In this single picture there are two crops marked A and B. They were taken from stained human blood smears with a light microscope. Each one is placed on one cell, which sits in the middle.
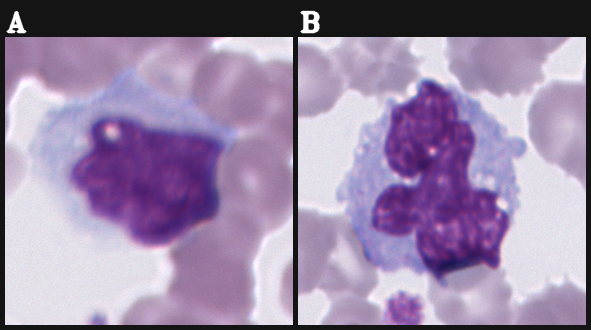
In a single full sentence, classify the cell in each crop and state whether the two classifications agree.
Yes, both crops are centred on monocytes.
